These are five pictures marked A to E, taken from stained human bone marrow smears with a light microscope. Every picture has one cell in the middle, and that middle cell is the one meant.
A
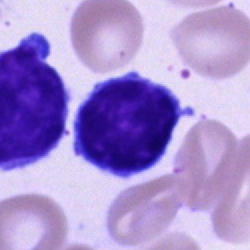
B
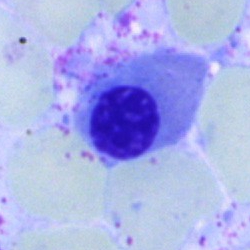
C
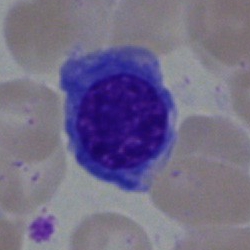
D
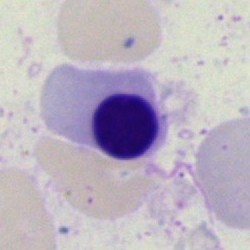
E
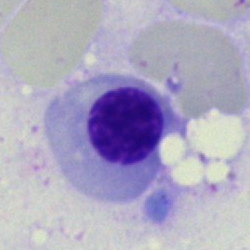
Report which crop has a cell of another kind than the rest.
A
